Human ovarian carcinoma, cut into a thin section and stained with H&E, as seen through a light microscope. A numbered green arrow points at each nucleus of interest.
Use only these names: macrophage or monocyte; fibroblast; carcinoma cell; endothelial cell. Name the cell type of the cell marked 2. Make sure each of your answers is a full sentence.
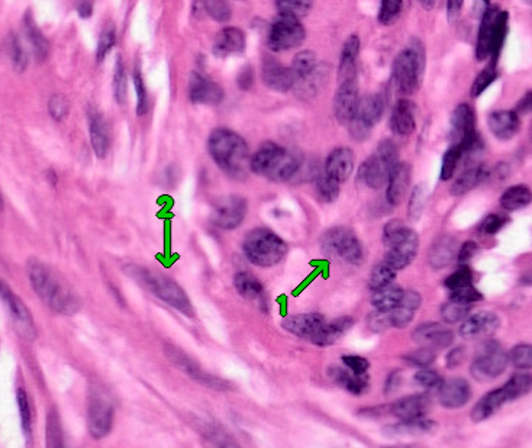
The cell marked with number 2 is a fibroblast.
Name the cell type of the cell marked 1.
The nucleus with number 1 is that of a carcinoma cell.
